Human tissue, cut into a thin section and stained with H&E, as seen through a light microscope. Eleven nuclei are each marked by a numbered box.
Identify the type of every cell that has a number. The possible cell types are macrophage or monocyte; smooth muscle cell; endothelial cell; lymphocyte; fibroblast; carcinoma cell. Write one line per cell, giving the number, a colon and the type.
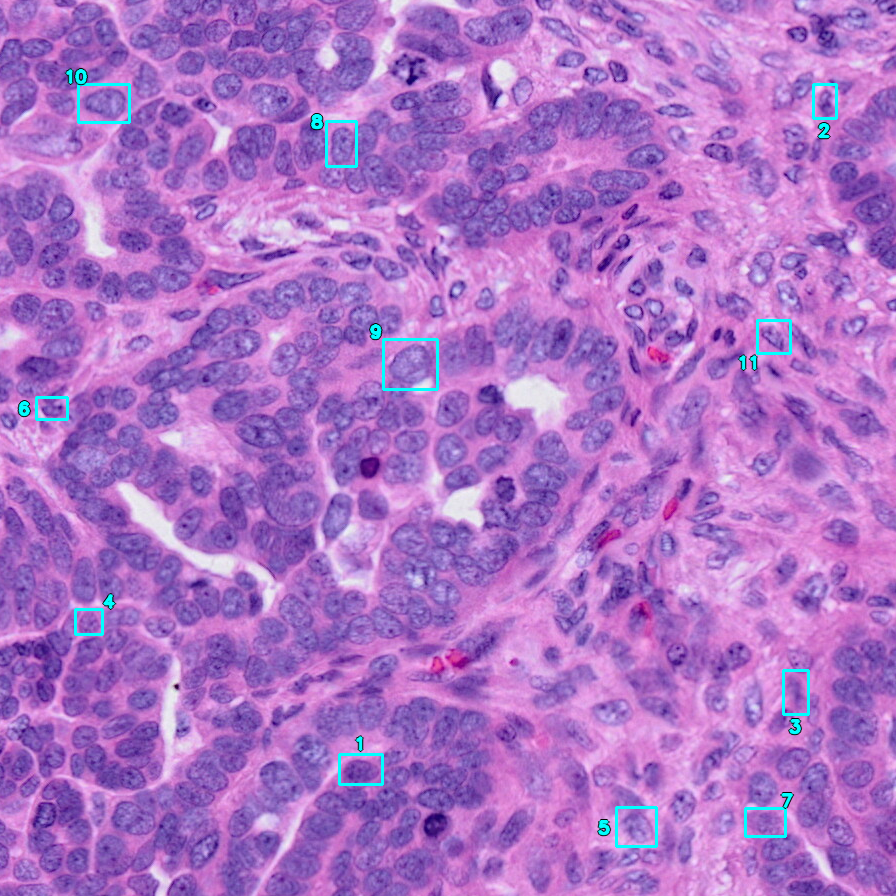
1: carcinoma cell
2: fibroblast
3: fibroblast
4: carcinoma cell
5: fibroblast
6: fibroblast
7: carcinoma cell
8: carcinoma cell
9: carcinoma cell
10: carcinoma cell
11: fibroblast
